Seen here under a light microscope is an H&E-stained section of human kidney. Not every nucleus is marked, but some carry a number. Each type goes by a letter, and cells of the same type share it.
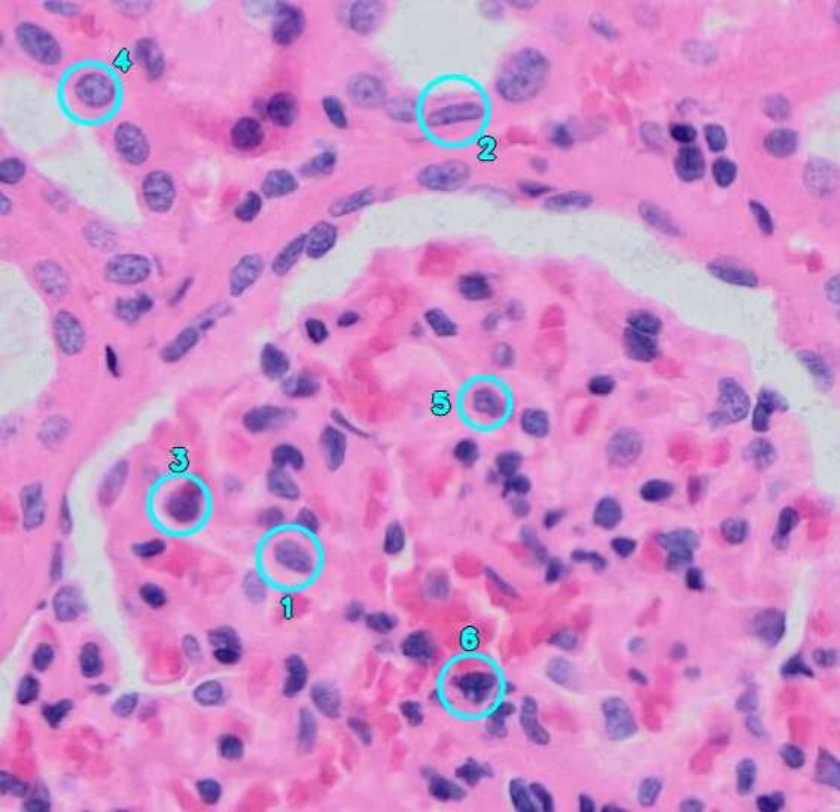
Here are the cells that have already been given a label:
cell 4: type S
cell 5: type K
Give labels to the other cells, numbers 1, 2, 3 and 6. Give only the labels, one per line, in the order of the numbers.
type K
type S
type K
type K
